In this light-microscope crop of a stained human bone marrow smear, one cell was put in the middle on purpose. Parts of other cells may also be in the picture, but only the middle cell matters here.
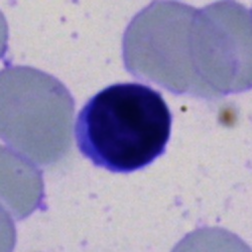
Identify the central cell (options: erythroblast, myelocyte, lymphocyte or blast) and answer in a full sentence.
Of the cells in this crop, the central one is a lymphocyte.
